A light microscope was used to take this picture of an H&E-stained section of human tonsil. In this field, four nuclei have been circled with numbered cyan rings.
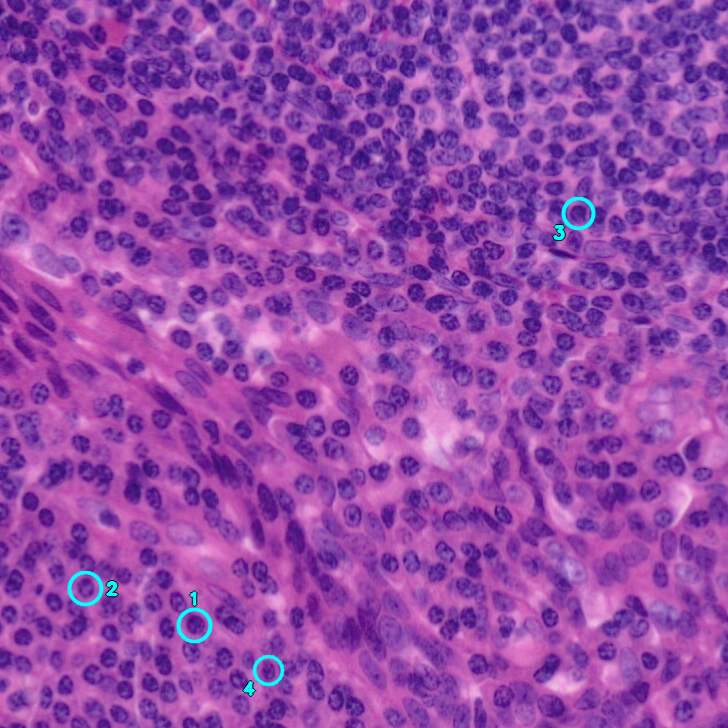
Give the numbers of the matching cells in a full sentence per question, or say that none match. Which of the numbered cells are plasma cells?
The cells bearing the numbers 1, 2 and 4 are plasma cells.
